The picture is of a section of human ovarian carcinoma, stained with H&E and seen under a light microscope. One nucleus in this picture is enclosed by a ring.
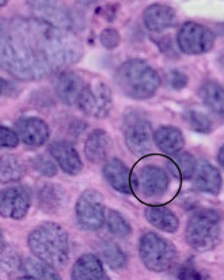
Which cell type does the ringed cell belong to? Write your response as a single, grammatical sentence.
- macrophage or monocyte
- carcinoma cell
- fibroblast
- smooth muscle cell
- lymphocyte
Assigned to a cell type, the ringed cell is a carcinoma cell.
